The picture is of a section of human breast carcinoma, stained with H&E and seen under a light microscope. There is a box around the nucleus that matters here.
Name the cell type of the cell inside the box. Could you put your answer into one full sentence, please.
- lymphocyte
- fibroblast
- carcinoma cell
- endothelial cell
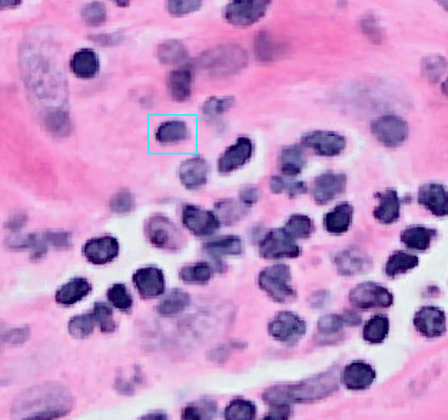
What the cell inside the box represents is a lymphocyte.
